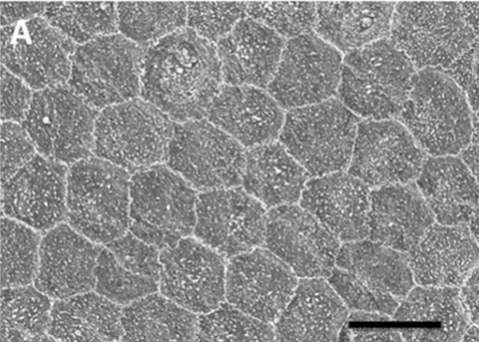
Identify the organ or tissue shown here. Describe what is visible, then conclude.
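Corneal endothelium. A single layer of flat polygonal, mostly hexagonal cells forms a mosaic. Cells are separated by thin raised borders. The cells are of fairly uniform size.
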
